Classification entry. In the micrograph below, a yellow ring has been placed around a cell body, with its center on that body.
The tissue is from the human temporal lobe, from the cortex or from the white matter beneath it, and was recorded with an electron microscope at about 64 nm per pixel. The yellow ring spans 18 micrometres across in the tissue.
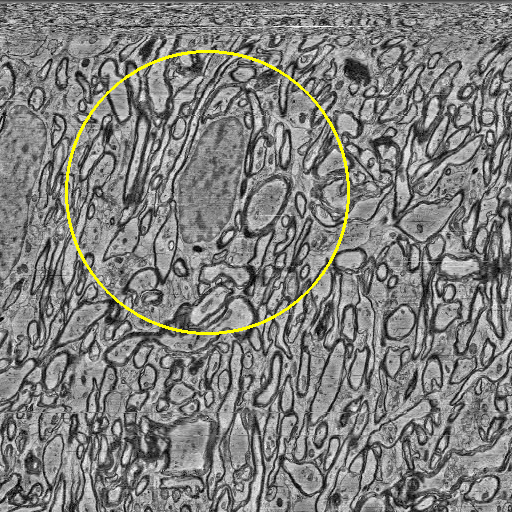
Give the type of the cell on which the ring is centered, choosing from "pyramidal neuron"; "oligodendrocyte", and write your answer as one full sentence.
The cell body at the center of the yellow ring belongs to an oligodendrocyte.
